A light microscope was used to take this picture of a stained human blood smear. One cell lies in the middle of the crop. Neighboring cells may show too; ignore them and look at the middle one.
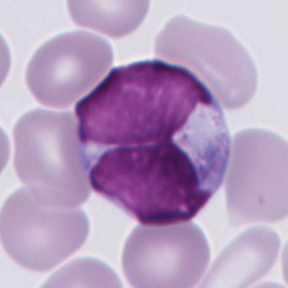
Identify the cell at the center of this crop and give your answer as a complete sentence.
The central cell shown in this smear crop is a large granular lymphocyte.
